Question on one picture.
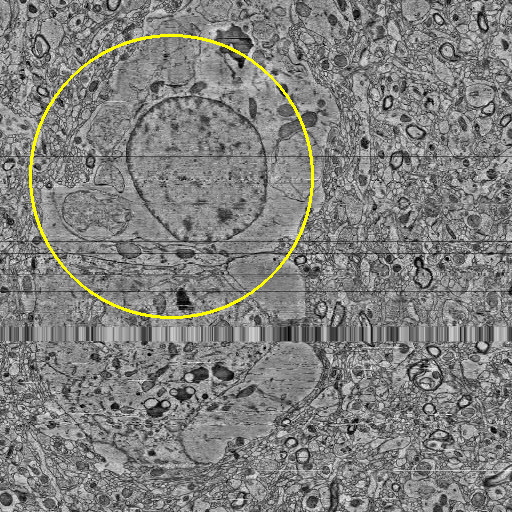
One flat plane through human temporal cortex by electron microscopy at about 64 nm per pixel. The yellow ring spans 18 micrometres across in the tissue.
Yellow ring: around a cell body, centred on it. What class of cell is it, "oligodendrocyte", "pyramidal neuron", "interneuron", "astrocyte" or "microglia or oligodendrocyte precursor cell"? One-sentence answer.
This is an astrocyte, the cell the ring is centred on.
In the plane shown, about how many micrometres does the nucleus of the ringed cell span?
Roughly 9 micrometres across, measured in this plane.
